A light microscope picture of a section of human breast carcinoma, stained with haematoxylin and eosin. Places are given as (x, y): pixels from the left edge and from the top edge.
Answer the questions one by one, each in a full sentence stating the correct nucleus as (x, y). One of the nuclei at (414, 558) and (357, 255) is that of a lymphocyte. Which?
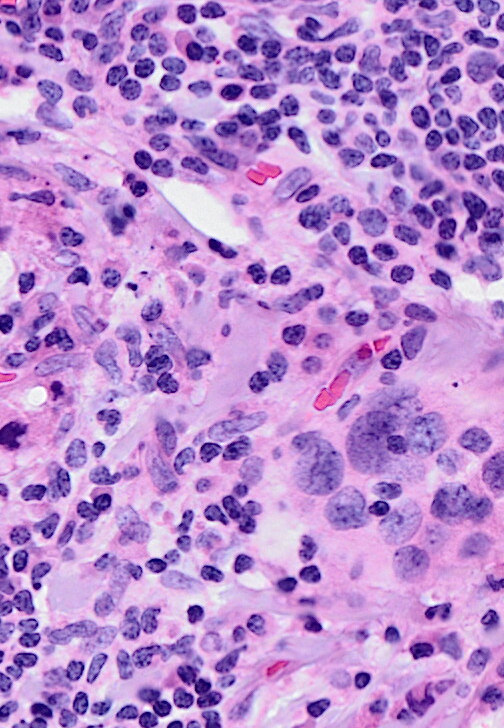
Of the two, the nucleus at (357, 255) is the one contained in a lymphocyte.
